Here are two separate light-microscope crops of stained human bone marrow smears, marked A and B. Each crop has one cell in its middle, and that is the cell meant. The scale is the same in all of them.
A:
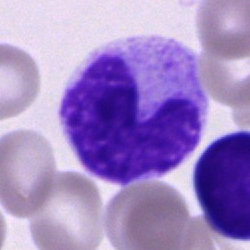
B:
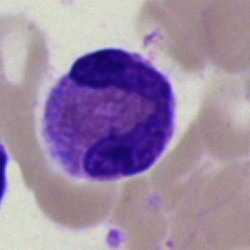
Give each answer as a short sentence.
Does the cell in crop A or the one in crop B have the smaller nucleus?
It is the nucleus in crop B; the one in crop A has about 1.5 times its area.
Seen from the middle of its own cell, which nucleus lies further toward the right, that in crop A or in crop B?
In crop B the nucleus is shifted more toward the right.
